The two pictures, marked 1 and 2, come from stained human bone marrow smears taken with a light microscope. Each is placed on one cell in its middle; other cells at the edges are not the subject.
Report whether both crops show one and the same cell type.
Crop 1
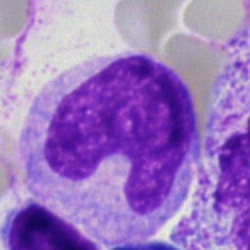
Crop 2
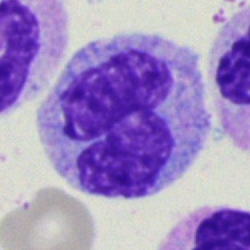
yes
